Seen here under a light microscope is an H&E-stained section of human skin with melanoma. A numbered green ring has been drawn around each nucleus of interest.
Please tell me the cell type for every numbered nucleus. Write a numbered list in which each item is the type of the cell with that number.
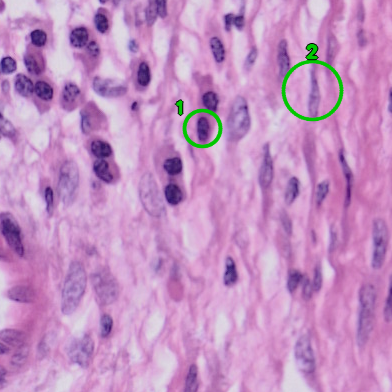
1. plasma cell
2. fibroblast or myofibroblast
